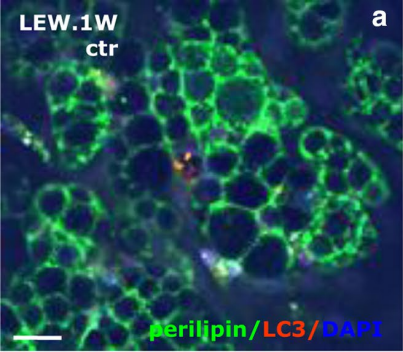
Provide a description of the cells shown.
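Droplets vary in size within and between cells, from small to large. A few small red and yellowish spots lie between droplets. Blue nuclei are sparse and inconspicuous.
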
